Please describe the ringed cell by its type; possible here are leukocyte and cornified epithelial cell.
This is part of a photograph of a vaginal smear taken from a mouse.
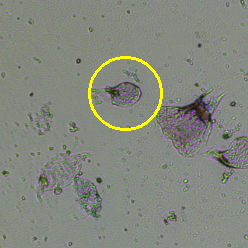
The yellow ring marks a cornified epithelial cell.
